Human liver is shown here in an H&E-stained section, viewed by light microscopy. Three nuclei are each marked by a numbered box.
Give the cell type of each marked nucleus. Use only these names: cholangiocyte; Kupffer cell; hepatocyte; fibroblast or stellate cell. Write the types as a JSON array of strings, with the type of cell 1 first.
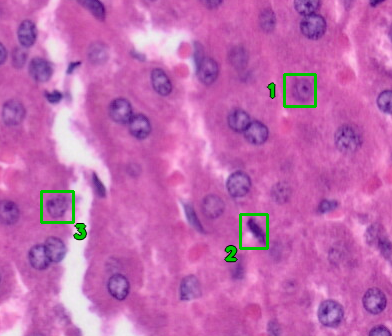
["hepatocyte", "fibroblast or stellate cell", "hepatocyte"]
